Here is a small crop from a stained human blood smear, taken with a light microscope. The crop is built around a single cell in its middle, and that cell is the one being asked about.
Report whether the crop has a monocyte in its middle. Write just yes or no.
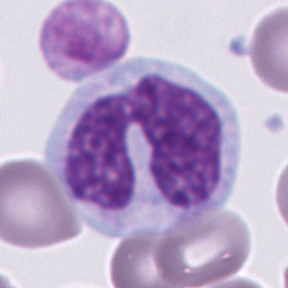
yes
